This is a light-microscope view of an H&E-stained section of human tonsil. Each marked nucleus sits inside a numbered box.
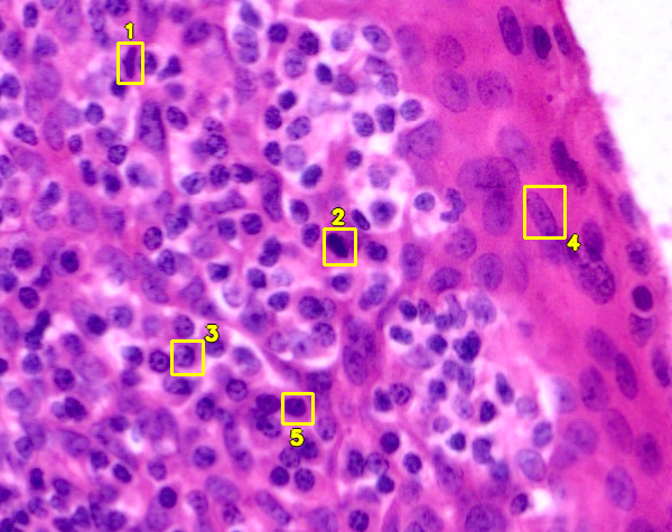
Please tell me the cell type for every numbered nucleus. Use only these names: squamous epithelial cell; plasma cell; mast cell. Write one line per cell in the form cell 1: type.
cell 1: squamous epithelial cell
cell 2: squamous epithelial cell
cell 3: plasma cell
cell 4: squamous epithelial cell
cell 5: plasma cell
